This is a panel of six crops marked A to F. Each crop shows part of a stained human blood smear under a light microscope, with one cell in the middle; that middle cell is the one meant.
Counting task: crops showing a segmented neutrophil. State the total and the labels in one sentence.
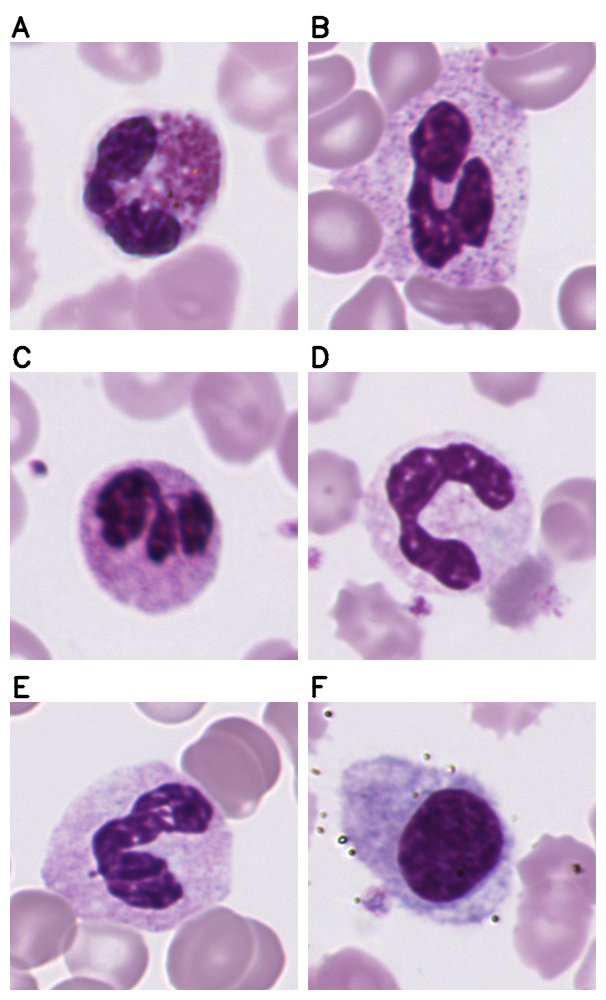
Altogether four crops hold segmented neutrophils, these being B, C, D and E.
